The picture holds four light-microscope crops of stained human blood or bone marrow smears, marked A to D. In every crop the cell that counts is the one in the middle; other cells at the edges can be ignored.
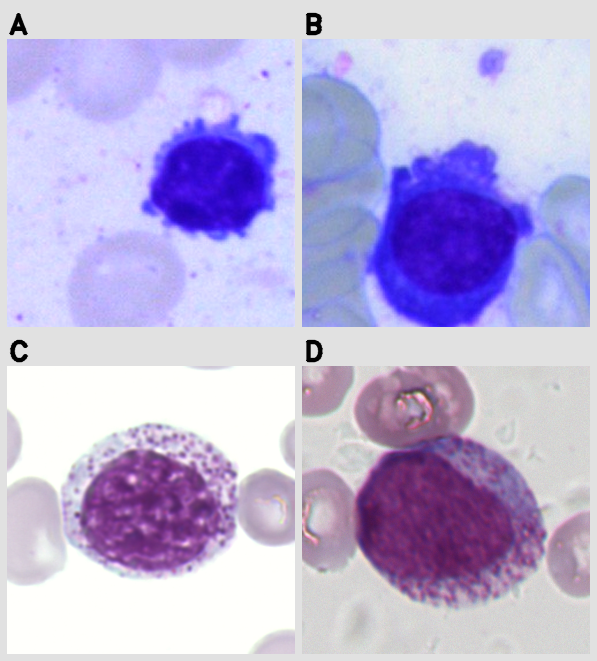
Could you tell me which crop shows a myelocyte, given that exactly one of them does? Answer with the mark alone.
C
